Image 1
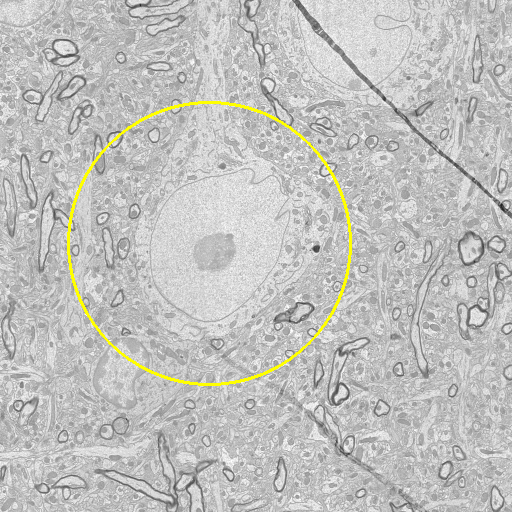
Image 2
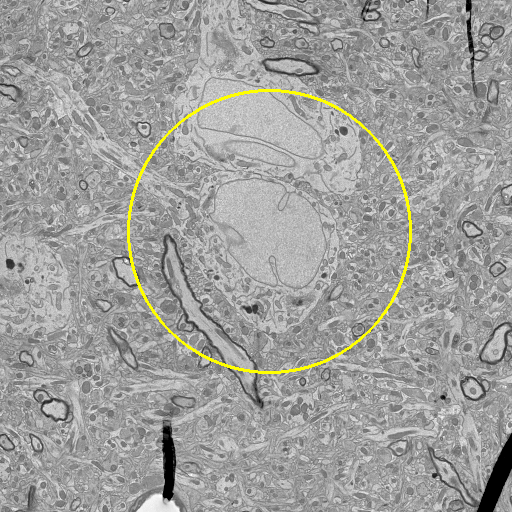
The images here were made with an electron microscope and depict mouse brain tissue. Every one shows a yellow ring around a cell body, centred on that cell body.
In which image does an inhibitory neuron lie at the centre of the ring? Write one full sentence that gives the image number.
My answer is image 2, where the asked-for cell sits at the centre of the ring.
